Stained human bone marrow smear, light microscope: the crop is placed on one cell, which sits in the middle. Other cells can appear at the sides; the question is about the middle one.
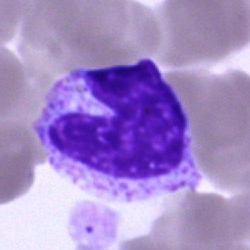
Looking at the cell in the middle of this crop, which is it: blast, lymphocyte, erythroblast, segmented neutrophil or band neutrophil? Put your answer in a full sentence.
In this smear crop, the middle cell is a band neutrophil.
